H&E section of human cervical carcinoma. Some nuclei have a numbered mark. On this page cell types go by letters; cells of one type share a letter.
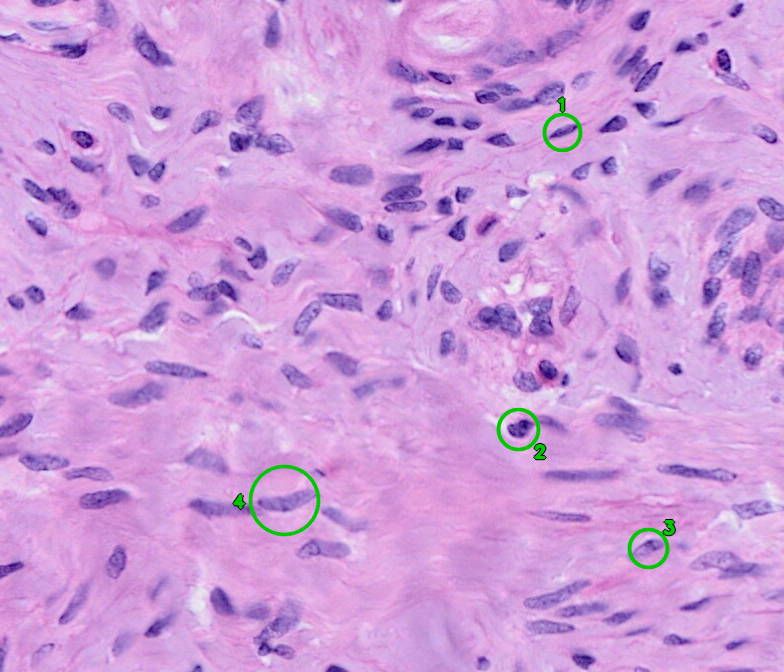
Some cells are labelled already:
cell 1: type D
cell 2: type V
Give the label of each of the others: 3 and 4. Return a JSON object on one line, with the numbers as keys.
{"3": "type D", "4": "type D"}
